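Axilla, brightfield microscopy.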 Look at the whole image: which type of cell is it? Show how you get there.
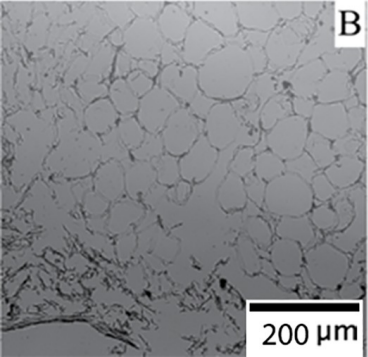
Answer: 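Large rounded polygonal cells with empty-looking interiors. Only thin rims separate neighbouring cells. Cells pack together in a honeycomb-like mesh.
Conclusion: White adipocytes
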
